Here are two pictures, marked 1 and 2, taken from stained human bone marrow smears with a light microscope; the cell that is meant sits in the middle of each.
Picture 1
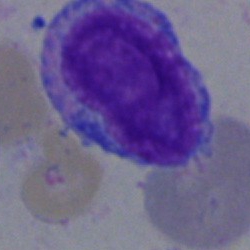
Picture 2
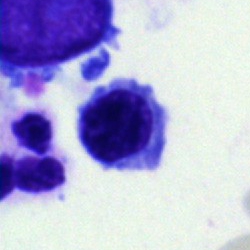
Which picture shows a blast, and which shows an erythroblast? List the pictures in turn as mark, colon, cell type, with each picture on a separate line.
1: blast
2: erythroblast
